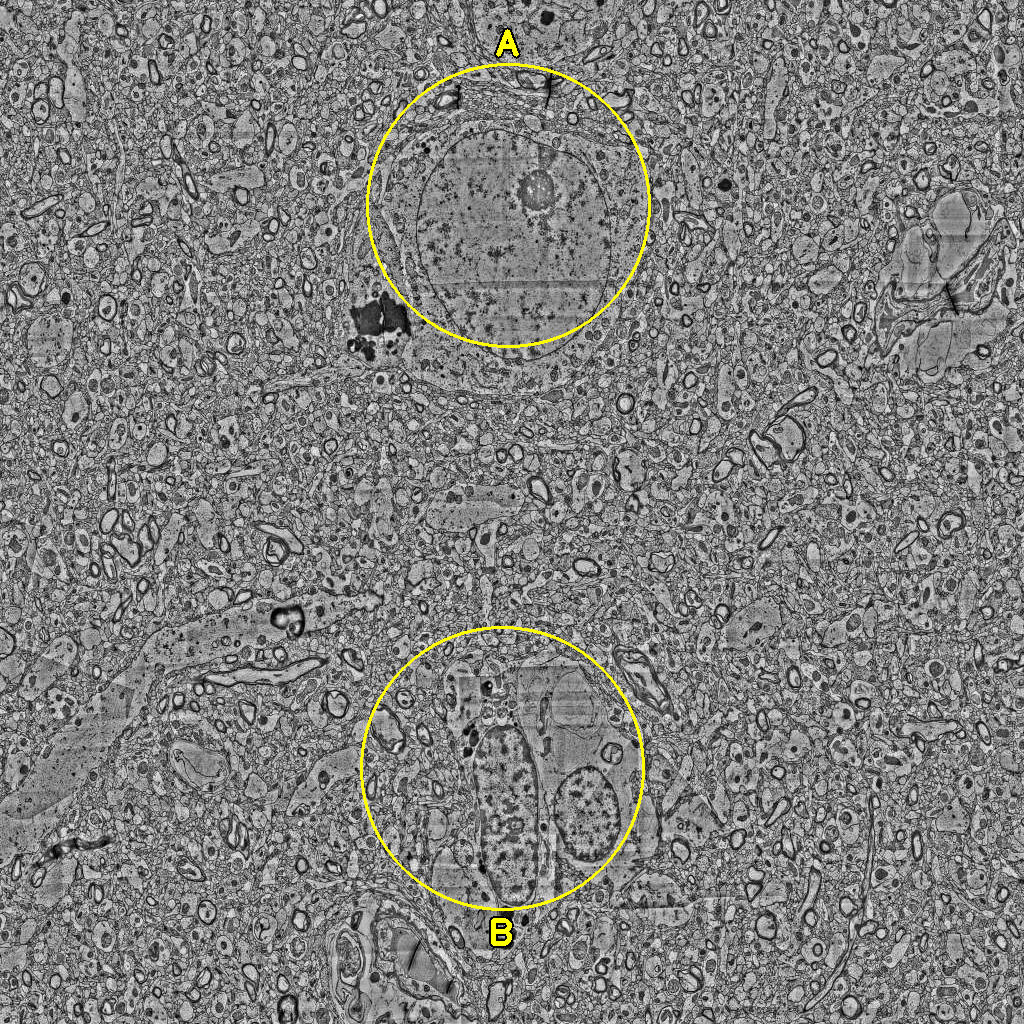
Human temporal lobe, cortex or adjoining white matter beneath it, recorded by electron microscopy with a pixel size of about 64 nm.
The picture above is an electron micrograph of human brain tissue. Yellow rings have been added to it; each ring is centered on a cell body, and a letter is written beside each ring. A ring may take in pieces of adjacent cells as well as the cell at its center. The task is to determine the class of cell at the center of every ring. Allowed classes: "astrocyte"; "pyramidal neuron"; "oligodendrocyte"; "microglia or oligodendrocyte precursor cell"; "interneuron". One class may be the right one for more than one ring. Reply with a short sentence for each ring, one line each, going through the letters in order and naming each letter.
Ring A is centered on a pyramidal neuron.
Ring B is centered on a microglial cell or oligodendrocyte precursor cell.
